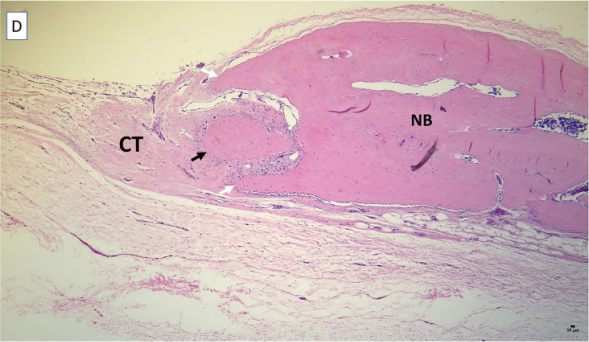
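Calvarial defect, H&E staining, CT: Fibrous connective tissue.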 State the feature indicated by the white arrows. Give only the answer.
Projection-like bone formation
